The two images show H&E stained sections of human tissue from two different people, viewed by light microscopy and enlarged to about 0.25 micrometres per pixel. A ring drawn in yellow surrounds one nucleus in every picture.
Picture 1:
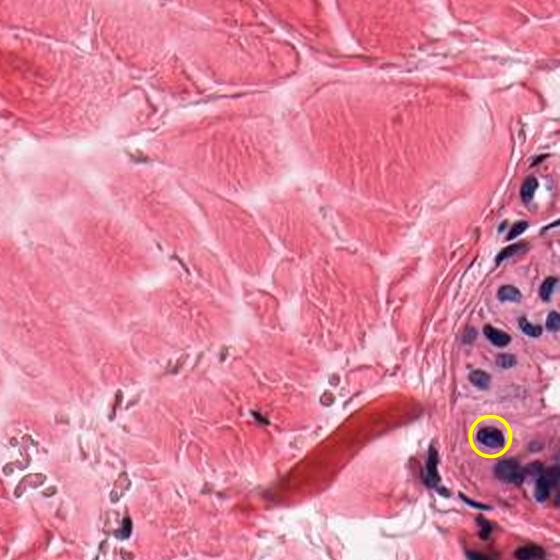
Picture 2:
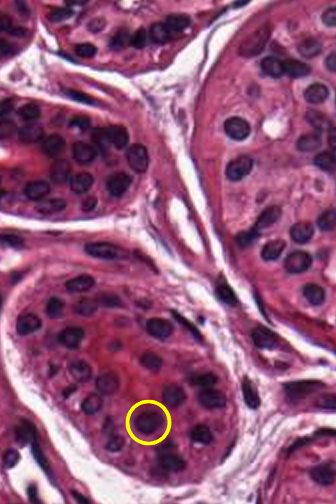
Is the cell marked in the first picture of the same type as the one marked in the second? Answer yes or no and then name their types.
Yes, both are sweat gland cells.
